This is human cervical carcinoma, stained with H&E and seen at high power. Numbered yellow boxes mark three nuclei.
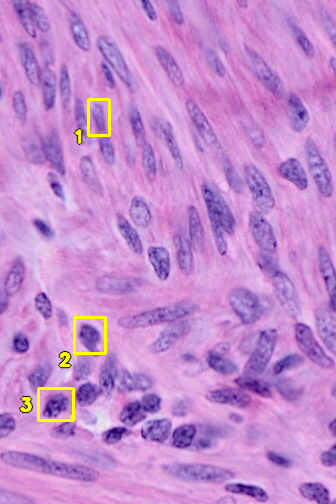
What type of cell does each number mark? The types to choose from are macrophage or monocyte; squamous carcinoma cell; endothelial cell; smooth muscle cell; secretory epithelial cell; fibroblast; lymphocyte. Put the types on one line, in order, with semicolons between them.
smooth muscle cell; lymphocyte; lymphocyte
